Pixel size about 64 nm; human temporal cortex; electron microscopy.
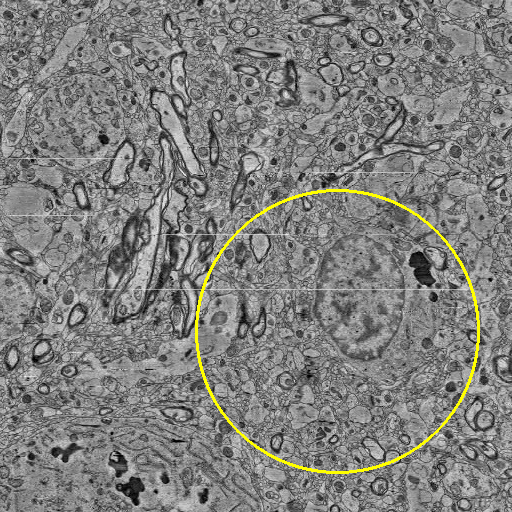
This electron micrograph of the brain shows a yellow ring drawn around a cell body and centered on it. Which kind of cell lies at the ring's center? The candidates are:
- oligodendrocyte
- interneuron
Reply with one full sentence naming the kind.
The cell lying at the ring's center in this micrograph is an oligodendrocyte.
